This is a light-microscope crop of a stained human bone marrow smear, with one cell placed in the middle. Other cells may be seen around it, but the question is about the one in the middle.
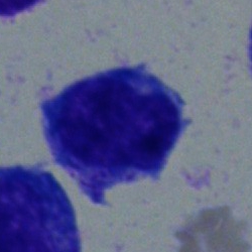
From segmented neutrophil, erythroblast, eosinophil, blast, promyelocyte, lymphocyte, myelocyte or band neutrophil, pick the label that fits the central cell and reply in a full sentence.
For this crop, the cell in the middle is a blast.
